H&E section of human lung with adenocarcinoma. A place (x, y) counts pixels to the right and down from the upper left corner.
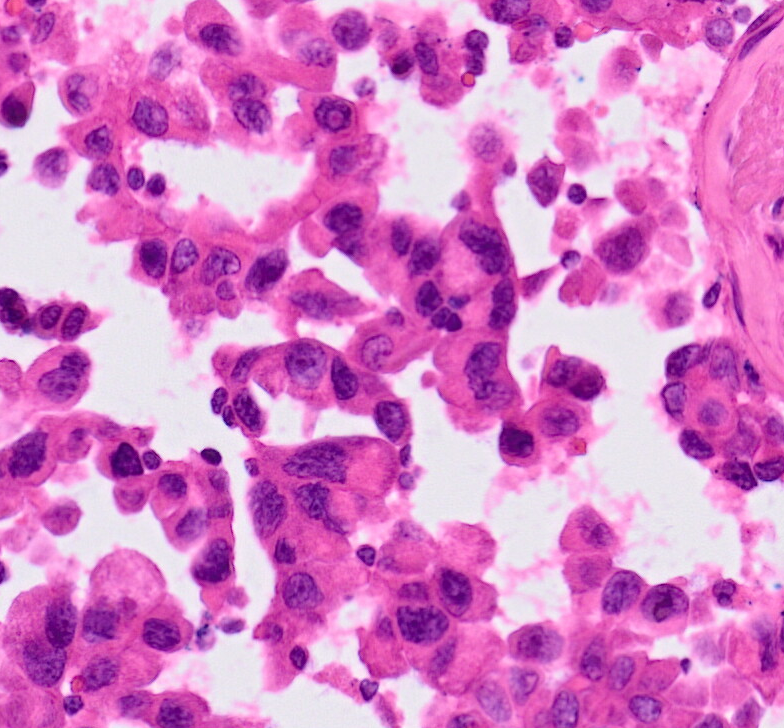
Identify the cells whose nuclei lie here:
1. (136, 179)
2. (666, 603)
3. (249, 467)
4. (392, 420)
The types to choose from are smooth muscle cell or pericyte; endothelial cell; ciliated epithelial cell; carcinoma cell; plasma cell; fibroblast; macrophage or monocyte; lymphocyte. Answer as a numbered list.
1. lymphocyte
2. carcinoma cell
3. carcinoma cell
4. carcinoma cell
